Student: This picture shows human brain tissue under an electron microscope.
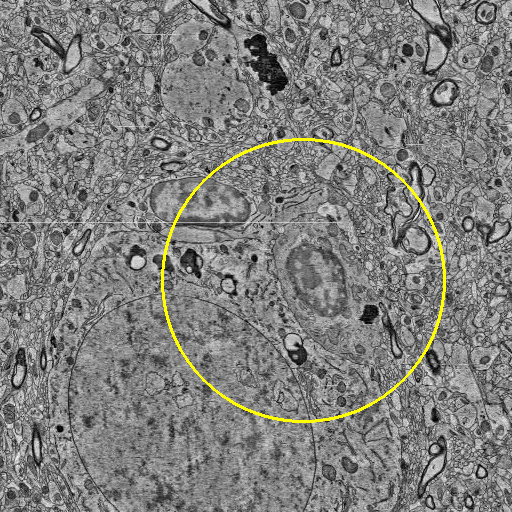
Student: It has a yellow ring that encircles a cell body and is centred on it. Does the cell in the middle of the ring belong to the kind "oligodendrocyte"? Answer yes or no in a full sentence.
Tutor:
Yes, the cell in the middle of the ring in this picture is of that kind.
